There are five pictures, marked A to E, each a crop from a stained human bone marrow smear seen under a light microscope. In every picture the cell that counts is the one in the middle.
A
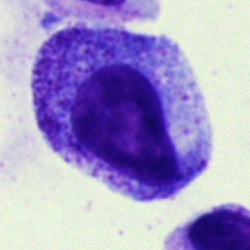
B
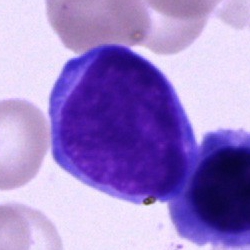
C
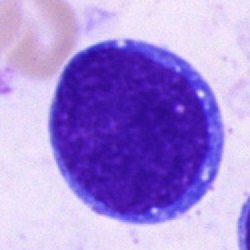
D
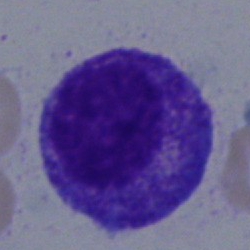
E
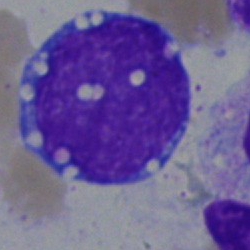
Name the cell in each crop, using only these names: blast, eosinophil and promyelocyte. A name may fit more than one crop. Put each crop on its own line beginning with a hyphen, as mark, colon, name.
- A: promyelocyte
- B: blast
- C: blast
- D: promyelocyte
- E: blast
